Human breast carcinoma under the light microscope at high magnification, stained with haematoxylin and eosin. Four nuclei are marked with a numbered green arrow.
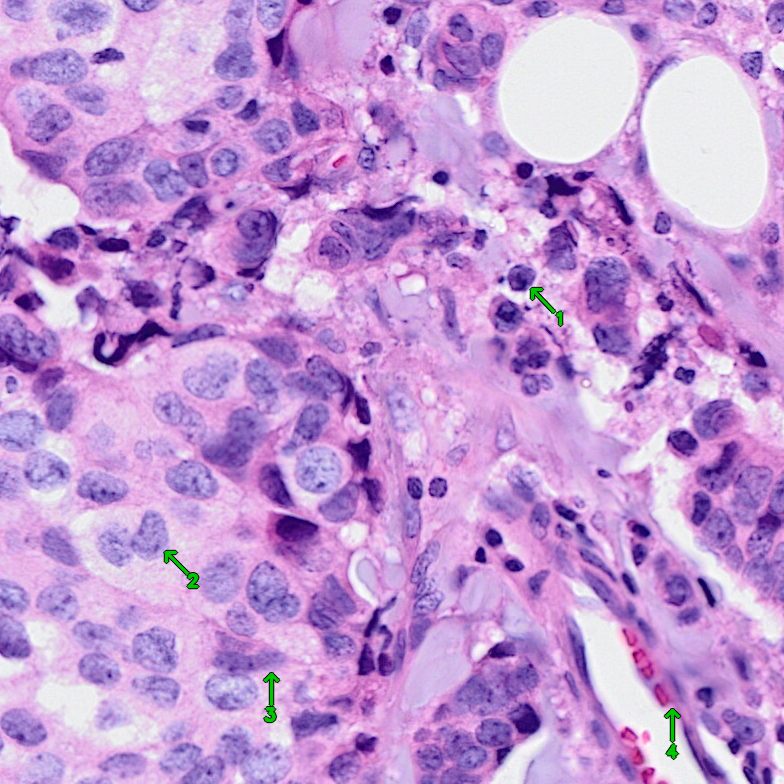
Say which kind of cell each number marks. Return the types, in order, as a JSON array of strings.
["carcinoma cell", "carcinoma cell", "carcinoma cell", "endothelial cell"]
